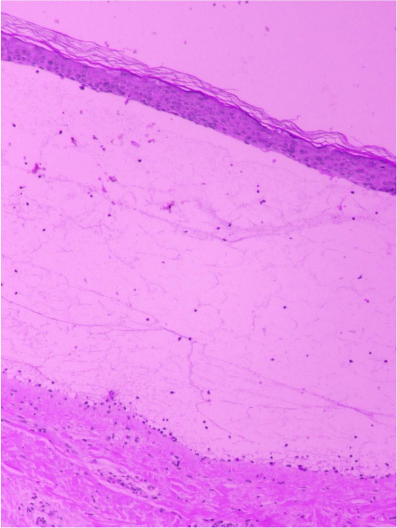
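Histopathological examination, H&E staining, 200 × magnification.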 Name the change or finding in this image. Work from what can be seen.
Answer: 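The full-thickness epidermis forms a thin band lifted off at the top of the panel. A wide, pale, nearly empty cavity lies between the epidermis and the dermis. Pink dermal collagen forms the floor of the cavity at the bottom.
Conclusion: subepidermal split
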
